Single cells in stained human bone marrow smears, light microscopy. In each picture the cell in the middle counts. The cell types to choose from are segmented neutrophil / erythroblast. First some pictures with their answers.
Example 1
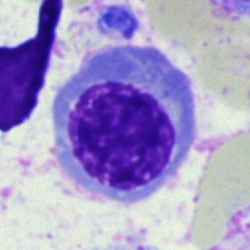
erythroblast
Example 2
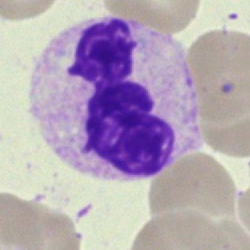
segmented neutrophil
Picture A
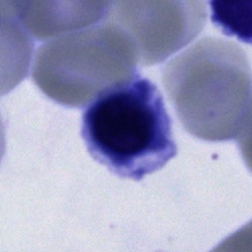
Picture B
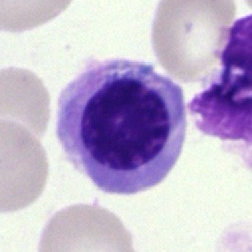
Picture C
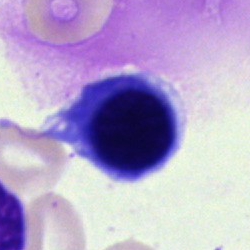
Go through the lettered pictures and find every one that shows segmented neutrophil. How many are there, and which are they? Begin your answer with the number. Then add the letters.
0, none of them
